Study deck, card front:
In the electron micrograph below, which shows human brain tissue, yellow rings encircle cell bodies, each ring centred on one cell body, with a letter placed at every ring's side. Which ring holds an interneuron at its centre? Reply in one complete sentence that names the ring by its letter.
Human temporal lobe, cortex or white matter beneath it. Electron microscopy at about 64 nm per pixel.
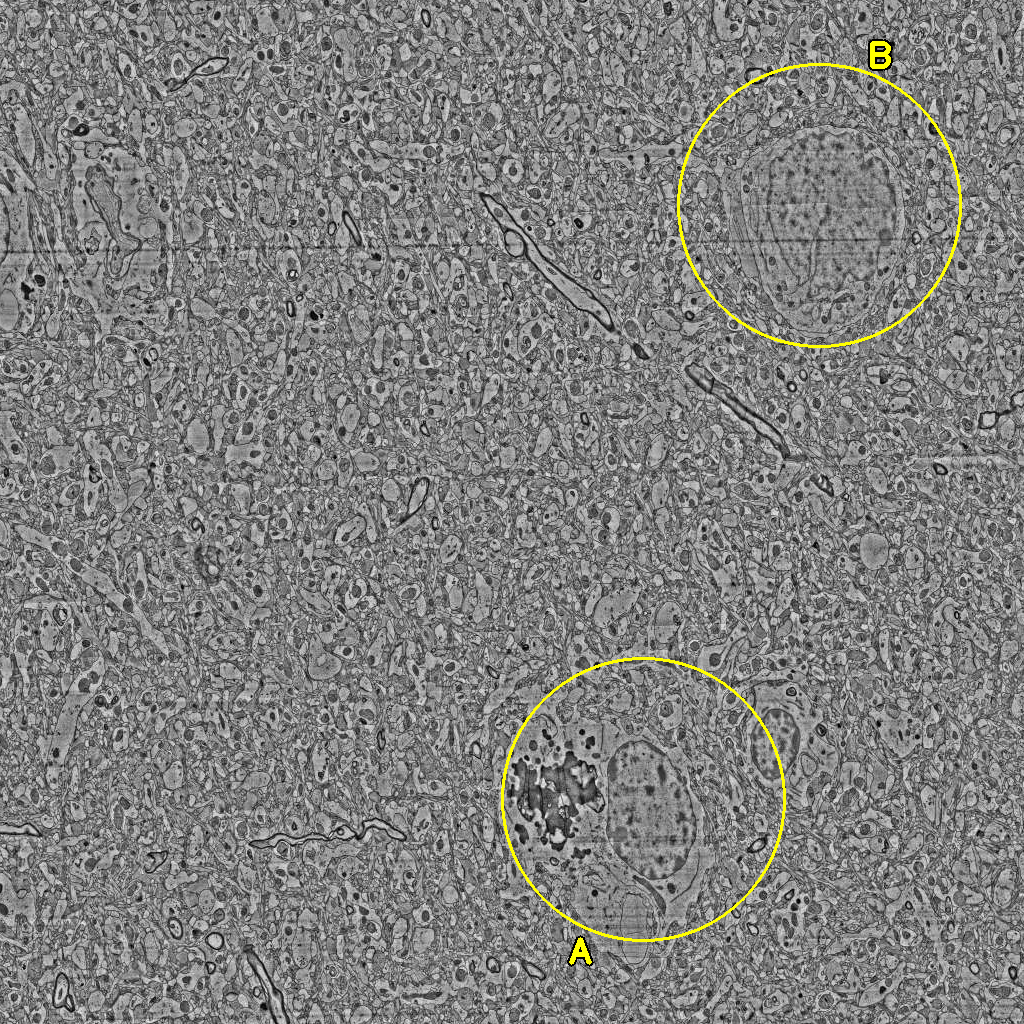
The cell asked for sits at the centre of ring B in the picture.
